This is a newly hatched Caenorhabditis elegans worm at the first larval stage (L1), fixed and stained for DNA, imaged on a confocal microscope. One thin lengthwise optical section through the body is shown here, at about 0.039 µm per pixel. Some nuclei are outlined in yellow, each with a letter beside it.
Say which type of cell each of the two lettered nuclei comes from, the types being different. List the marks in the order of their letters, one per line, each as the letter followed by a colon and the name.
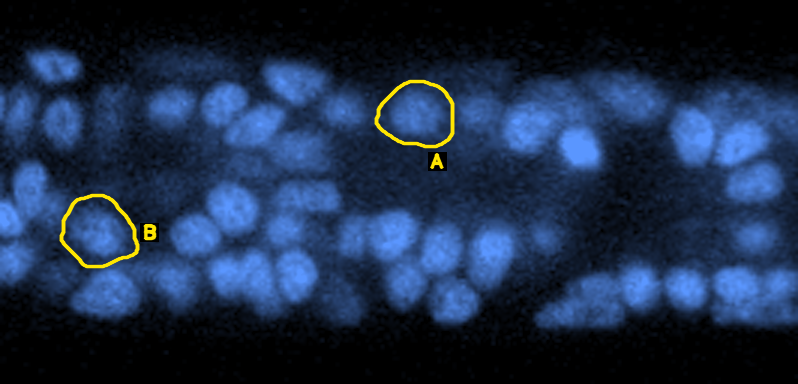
A: neuron
B: pharyngeal marginal cell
